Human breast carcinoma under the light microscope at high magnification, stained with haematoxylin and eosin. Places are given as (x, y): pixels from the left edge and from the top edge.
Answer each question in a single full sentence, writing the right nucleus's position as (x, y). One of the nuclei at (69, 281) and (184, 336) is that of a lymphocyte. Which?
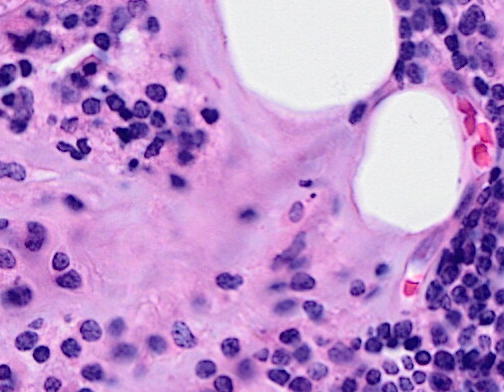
The member of the pair belonging to a lymphocyte is the nucleus at (69, 281).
